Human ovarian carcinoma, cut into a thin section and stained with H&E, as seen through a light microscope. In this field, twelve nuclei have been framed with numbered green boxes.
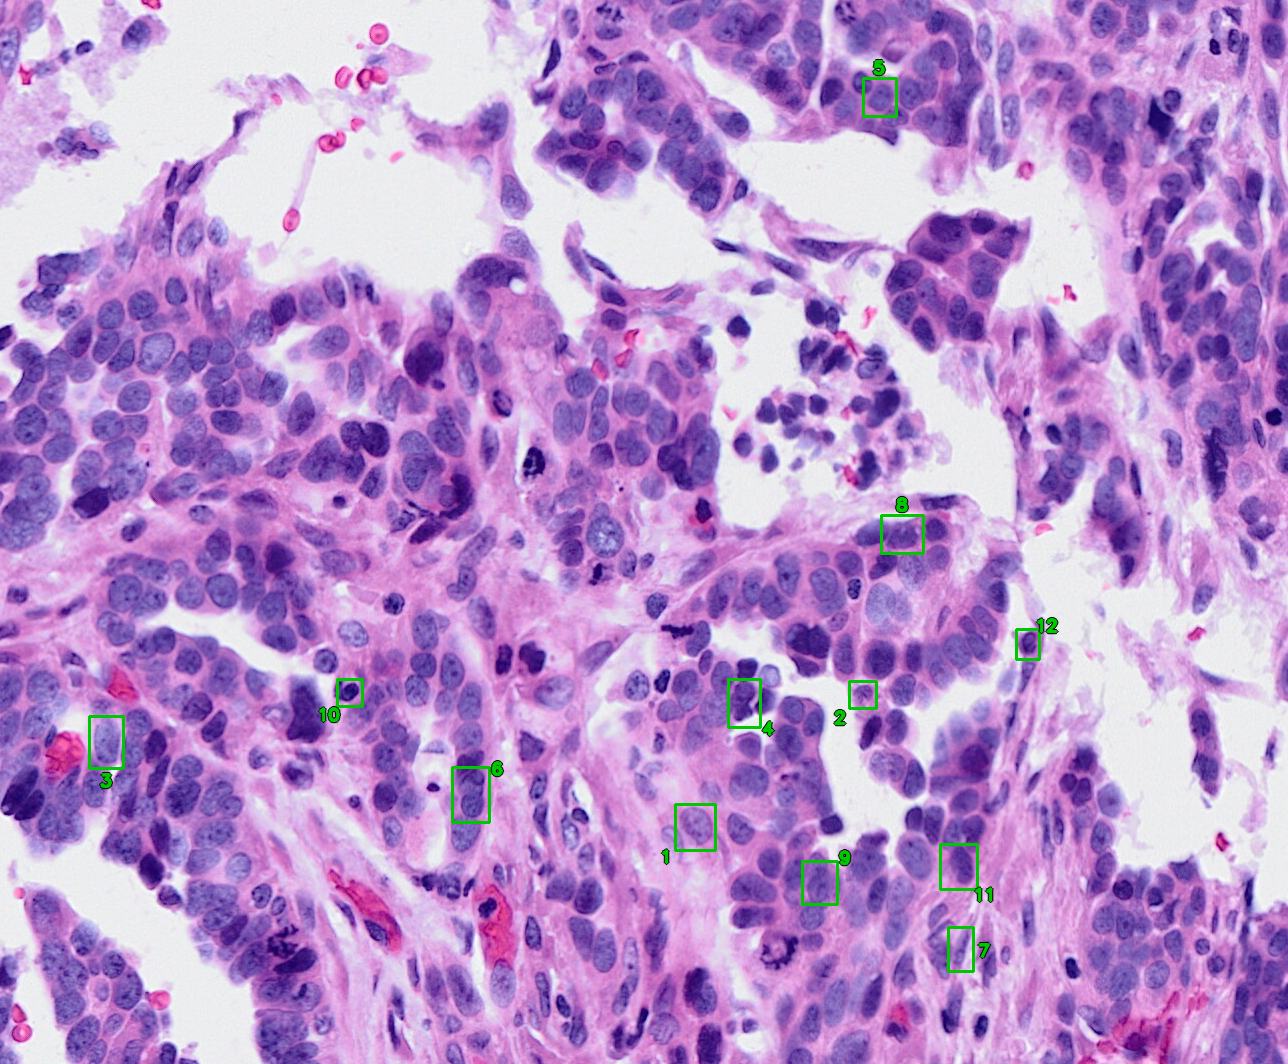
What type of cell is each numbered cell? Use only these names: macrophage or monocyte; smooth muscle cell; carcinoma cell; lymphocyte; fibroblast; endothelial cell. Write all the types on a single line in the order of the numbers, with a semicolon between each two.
fibroblast; macrophage or monocyte; carcinoma cell; carcinoma cell; carcinoma cell; carcinoma cell; fibroblast; carcinoma cell; carcinoma cell; lymphocyte; carcinoma cell; macrophage or monocyte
